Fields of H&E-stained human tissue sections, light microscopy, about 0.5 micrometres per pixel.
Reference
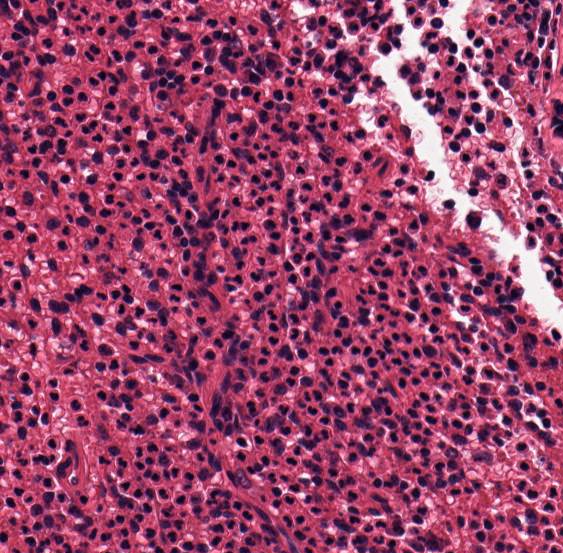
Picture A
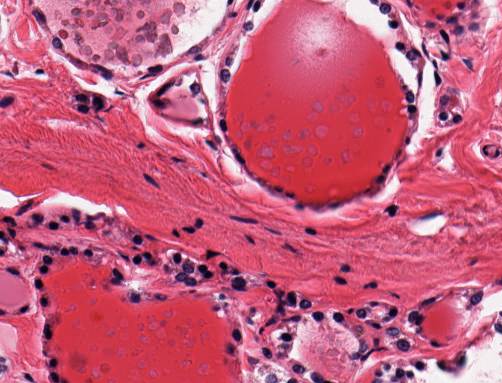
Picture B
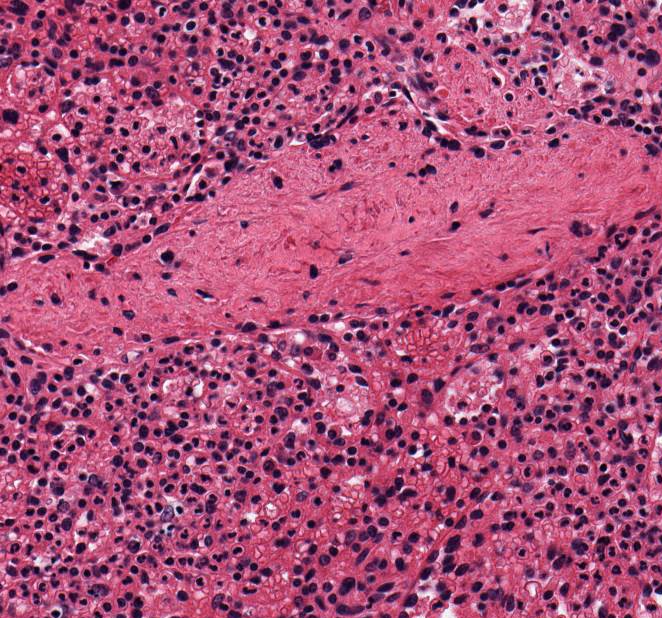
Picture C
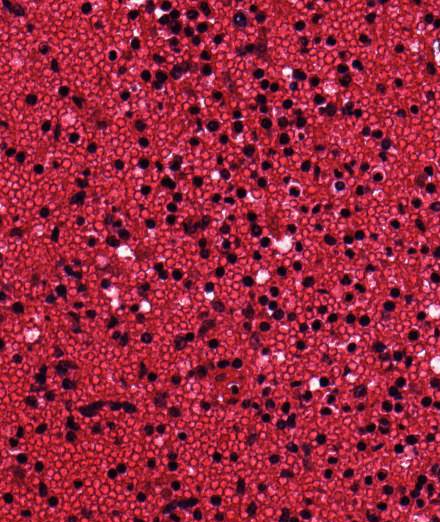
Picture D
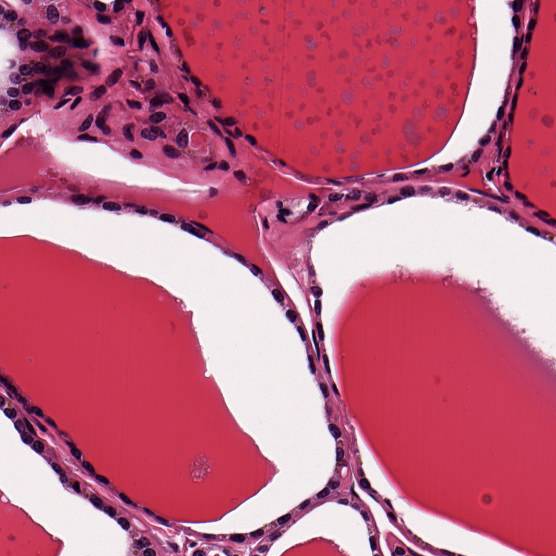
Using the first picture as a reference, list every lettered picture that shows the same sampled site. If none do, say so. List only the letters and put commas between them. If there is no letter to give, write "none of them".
B, C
